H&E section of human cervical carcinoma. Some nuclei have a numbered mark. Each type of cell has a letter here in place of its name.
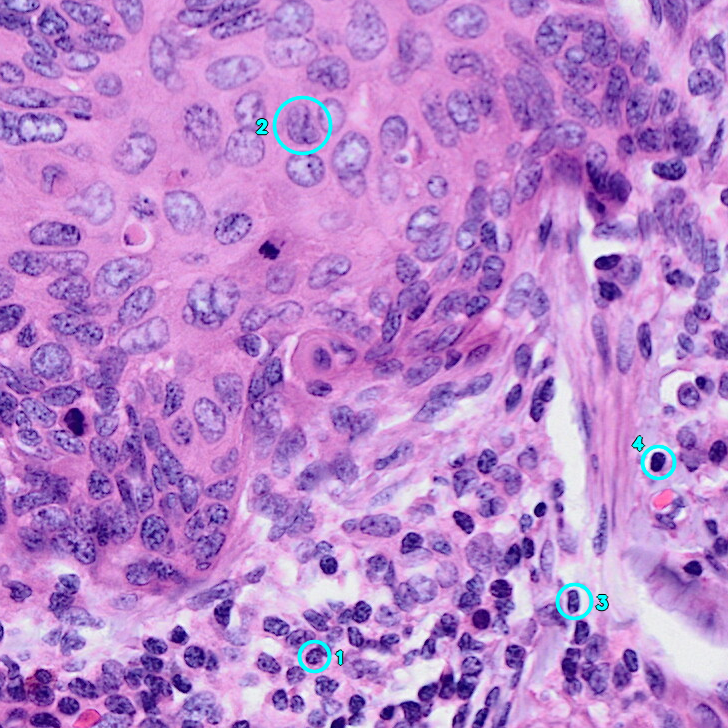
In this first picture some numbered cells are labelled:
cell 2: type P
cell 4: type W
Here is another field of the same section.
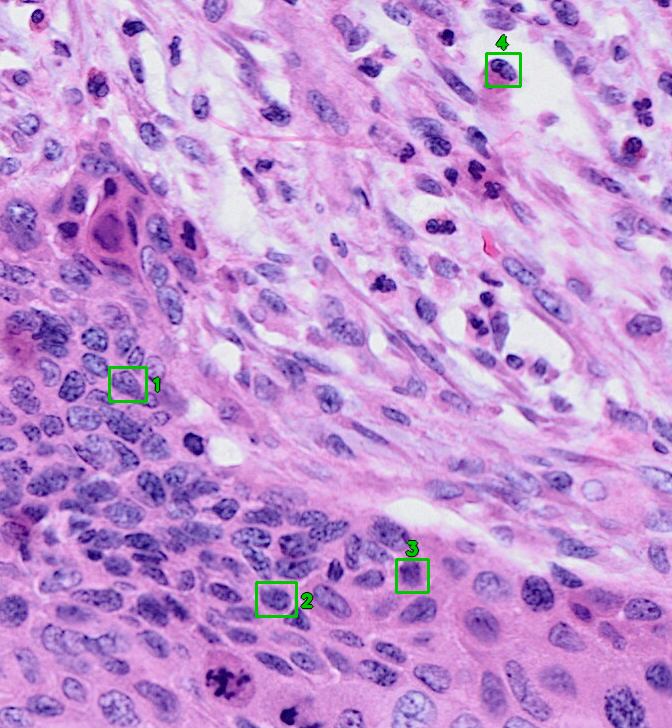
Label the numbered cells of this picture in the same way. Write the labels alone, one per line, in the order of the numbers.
type P
type P
type P
type W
